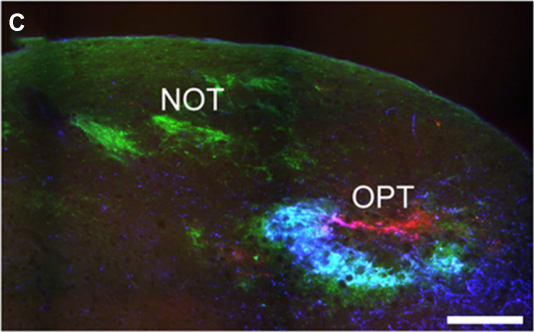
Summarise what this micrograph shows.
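This is a fluorescent section of the dorsal brain surface in which labeled nerve fibers and their terminal fields stand out against a dark, faintly stained background. Below and to the right, an oval, dense field of blue and bright cyan label is rimmed by green, with a small streak of red running along its upper edge. Higher up and to the left, just under the curved pial surface, separate irregular patches and strands of green label lie apart from the oval field.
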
